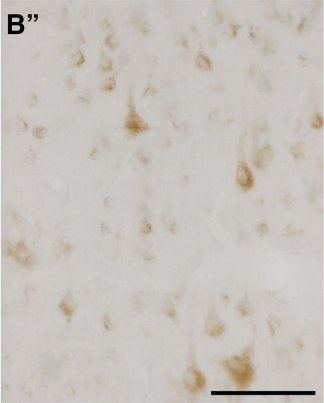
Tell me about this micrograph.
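Neocortical grey matter with many weakly brown-stained neurons scattered through a pale neuropil. Several pyramidal cells stand out with triangular somata and upward-directed apical processes, the largest near the bottom of the field staining more densely. Smaller neurons show only faint brown cytoplasm around pale nuclei.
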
